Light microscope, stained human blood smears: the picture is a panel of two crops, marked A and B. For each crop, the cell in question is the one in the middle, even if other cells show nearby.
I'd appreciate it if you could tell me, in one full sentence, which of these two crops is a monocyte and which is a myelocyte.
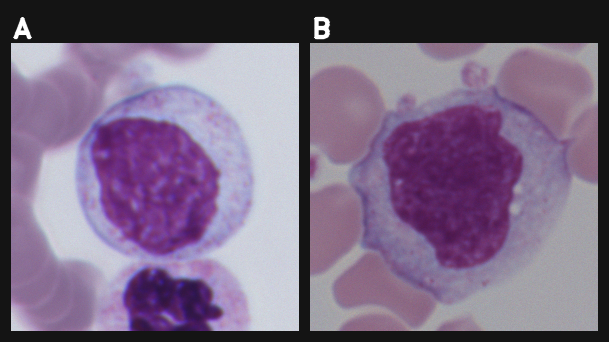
The cell at the centre of crop A is a myelocyte, and at the centre of crop B, a monocyte.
